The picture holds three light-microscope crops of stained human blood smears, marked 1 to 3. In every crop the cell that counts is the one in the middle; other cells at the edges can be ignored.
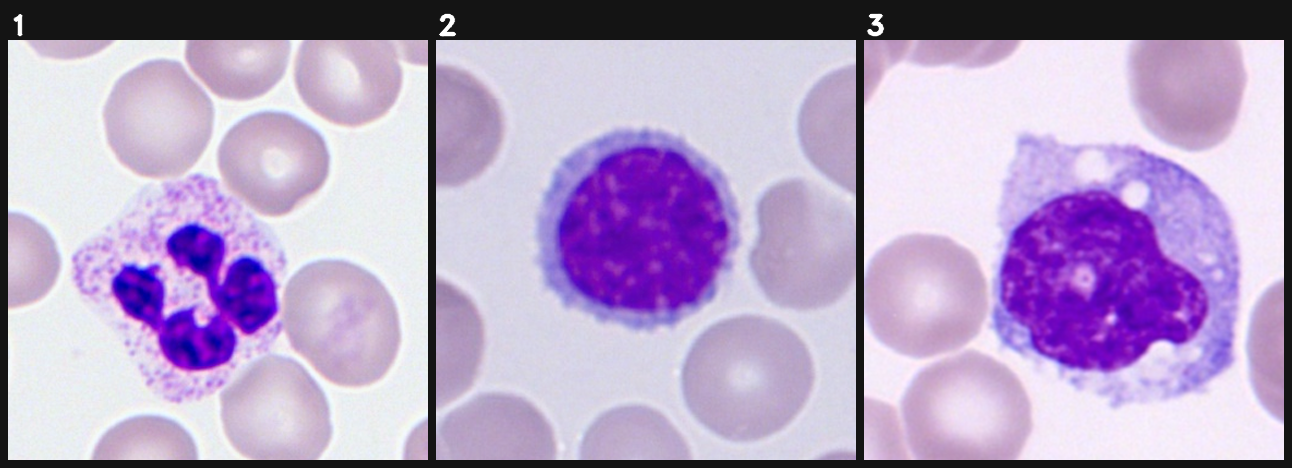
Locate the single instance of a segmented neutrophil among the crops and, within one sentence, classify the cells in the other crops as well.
Crop 1 should be logged as a segmented neutrophil, while crop 2 is a lymphocyte and crop 3 is a monocyte.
